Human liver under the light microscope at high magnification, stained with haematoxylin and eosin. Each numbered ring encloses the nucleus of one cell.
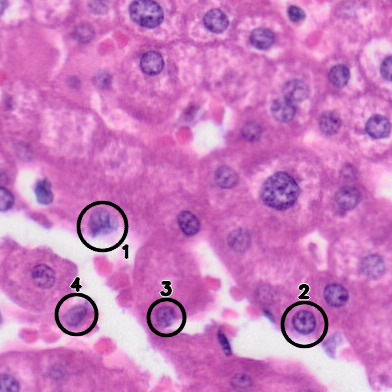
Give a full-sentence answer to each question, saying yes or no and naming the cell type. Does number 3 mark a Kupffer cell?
No, the cell tagged 3 is a hepatocyte, and not a Kupffer cell.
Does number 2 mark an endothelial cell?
No, the correct answer for cell 2 is a hepatocyte, not an endothelial cell.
